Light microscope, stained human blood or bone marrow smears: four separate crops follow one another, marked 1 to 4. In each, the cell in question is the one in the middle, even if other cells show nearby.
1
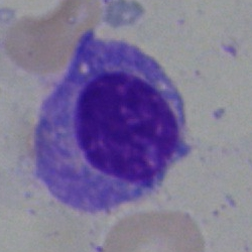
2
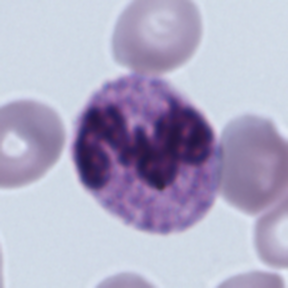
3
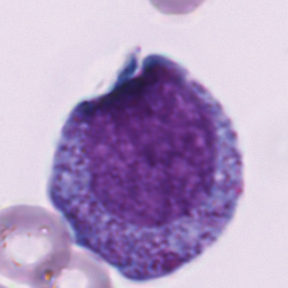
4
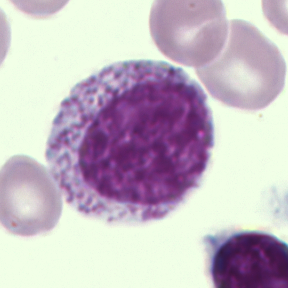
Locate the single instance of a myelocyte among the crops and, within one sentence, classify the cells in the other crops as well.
Inside crop 4 there is a myelocyte, while crop 1 is a plasma cell, crop 2 is a segmented neutrophil and crop 3 is a promyelocyte.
